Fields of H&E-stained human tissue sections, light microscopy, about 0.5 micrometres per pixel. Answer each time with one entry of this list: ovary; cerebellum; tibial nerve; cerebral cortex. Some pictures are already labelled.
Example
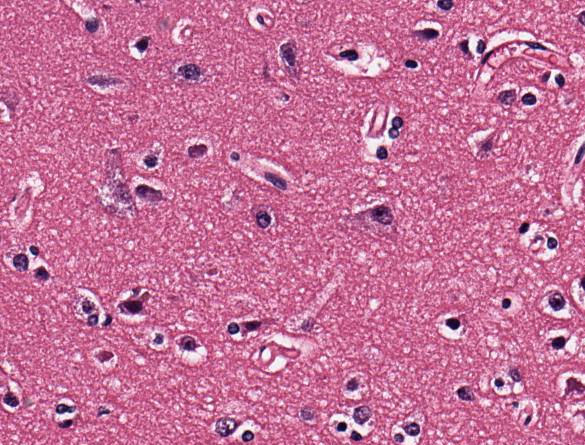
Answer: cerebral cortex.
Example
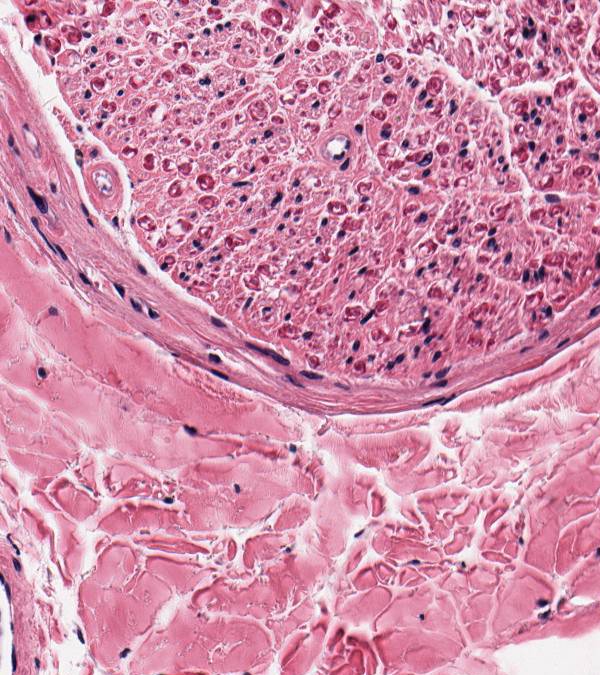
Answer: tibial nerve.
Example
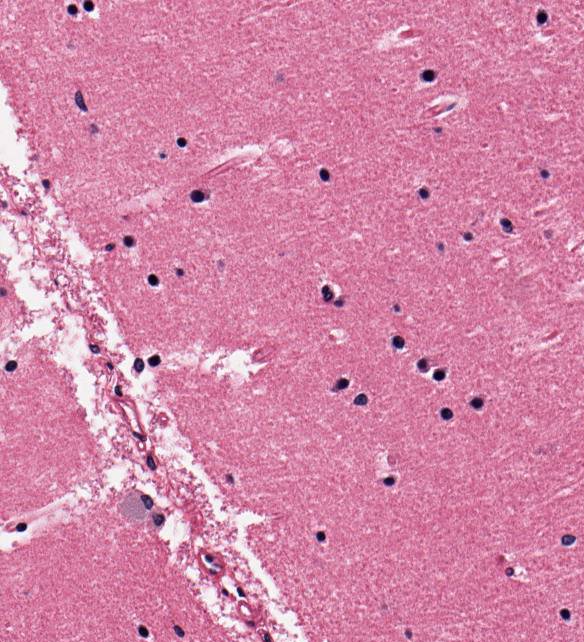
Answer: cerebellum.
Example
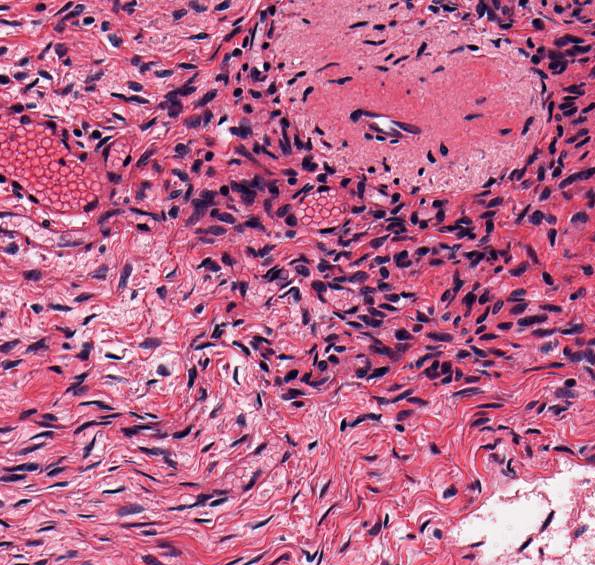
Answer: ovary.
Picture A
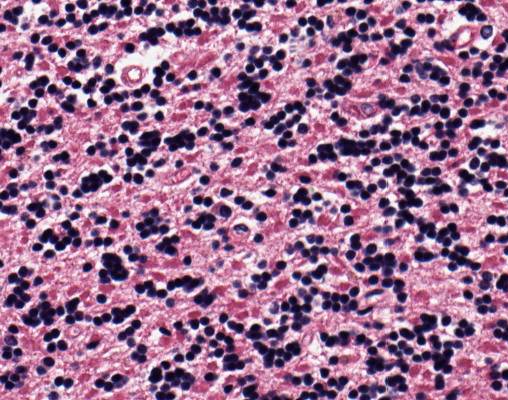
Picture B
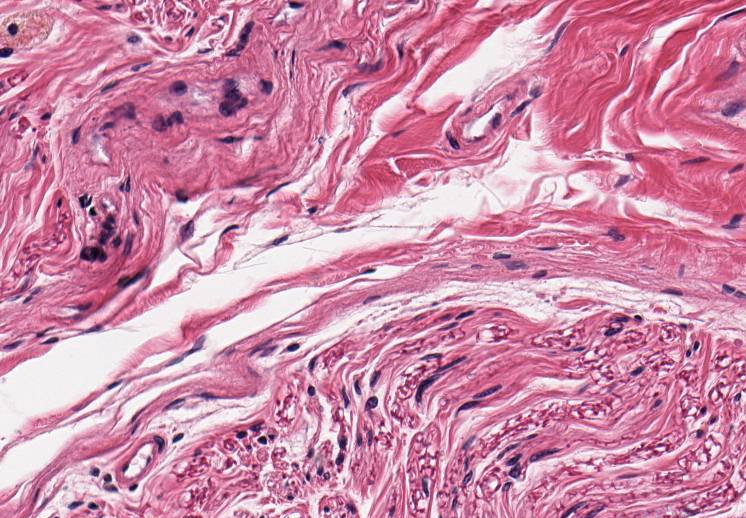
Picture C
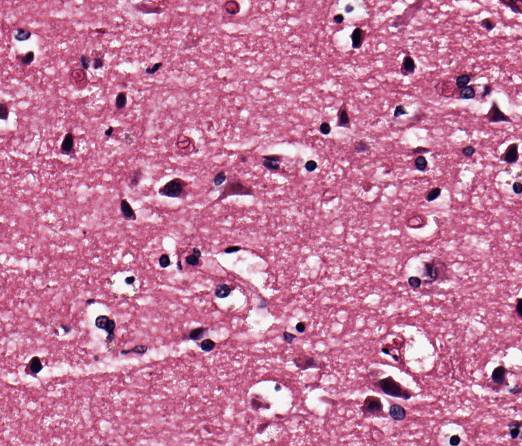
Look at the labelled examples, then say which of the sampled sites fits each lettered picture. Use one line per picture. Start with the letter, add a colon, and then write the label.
A: cerebellum.
B: tibial nerve.
C: cerebral cortex.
